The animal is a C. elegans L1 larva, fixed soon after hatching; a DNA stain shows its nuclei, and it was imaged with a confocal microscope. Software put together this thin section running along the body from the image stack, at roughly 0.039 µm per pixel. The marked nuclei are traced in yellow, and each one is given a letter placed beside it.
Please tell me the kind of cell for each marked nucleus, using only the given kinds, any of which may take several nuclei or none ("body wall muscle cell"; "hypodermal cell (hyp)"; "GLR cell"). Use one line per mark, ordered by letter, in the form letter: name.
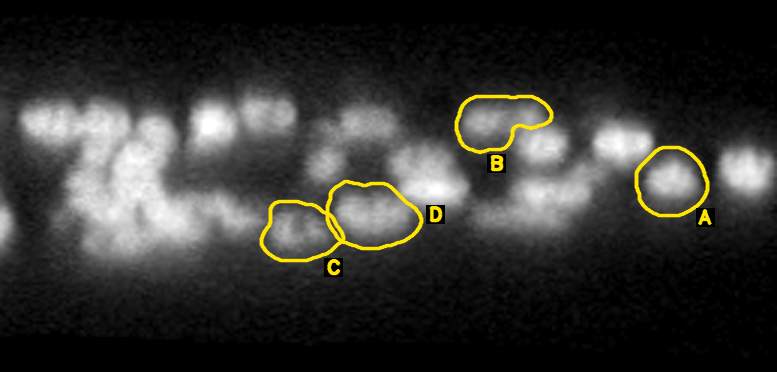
A: hypodermal cell (hyp)
B: body wall muscle cell
C: body wall muscle cell
D: body wall muscle cell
